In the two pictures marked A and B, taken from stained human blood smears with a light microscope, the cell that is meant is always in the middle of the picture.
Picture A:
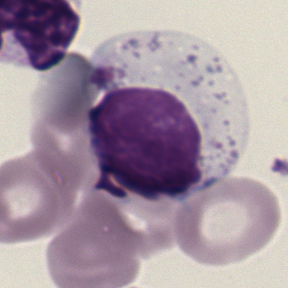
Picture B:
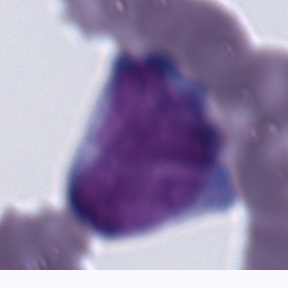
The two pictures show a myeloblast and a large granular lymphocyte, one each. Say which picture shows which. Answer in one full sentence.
It is picture A that shows a large granular lymphocyte, and picture B that shows a myeloblast.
